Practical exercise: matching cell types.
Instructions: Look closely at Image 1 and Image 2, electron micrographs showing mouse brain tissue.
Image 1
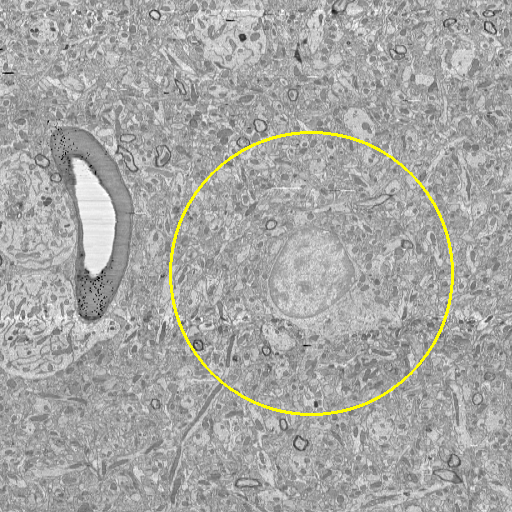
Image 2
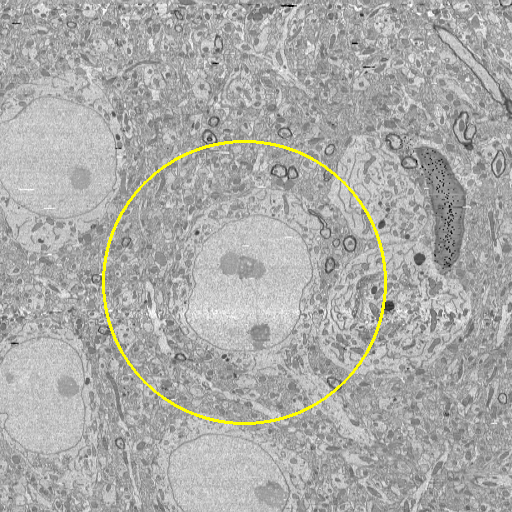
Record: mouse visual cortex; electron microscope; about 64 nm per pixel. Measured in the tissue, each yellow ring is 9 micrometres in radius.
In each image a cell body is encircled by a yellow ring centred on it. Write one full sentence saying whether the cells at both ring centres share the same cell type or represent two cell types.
Across Image 1 and Image 2, the cells at the ring centres represent two cell types.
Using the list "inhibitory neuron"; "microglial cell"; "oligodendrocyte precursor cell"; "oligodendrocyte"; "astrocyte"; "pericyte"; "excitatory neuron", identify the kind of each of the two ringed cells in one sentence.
The first is an oligodendrocyte and the second is an excitatory neuron.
